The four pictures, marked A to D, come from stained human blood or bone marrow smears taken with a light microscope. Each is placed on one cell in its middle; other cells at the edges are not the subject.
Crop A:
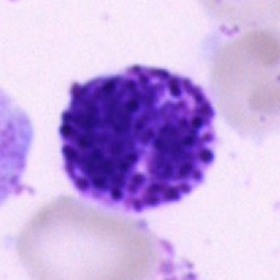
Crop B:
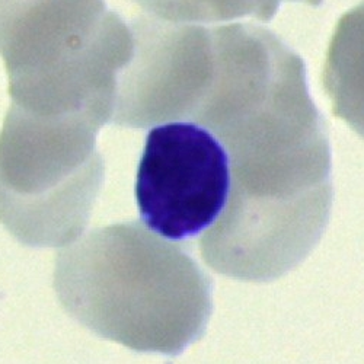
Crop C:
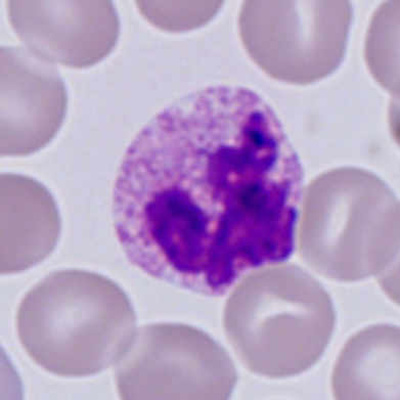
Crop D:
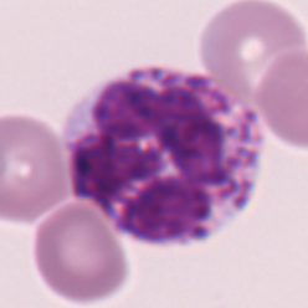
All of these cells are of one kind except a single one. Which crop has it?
B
